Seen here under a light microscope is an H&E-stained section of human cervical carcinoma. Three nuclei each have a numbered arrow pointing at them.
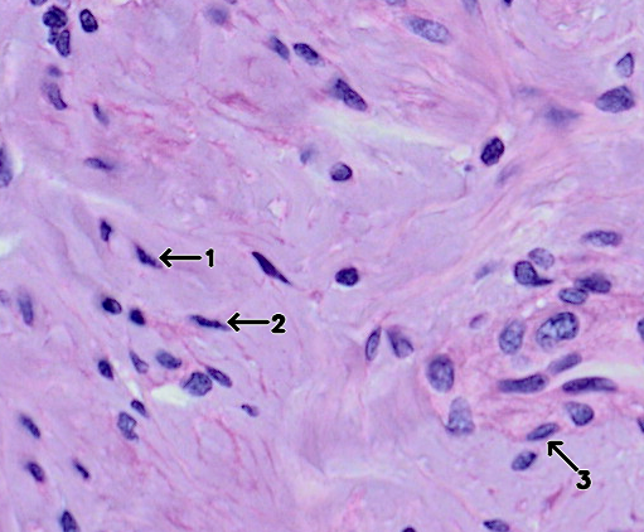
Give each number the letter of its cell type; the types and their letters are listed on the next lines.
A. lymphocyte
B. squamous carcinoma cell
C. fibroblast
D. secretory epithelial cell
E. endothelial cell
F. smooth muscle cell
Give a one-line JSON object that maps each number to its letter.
{"1": "C", "2": "C", "3": "F"}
